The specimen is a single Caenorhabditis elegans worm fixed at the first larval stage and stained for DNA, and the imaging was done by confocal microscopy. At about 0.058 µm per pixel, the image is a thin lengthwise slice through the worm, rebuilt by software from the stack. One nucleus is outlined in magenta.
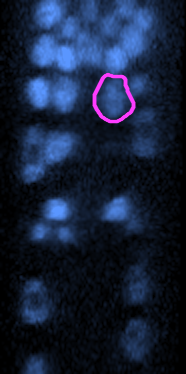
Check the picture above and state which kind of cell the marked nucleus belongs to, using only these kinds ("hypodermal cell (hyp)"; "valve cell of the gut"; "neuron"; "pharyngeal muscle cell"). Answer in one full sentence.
It belongs to a pharyngeal muscle cell.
